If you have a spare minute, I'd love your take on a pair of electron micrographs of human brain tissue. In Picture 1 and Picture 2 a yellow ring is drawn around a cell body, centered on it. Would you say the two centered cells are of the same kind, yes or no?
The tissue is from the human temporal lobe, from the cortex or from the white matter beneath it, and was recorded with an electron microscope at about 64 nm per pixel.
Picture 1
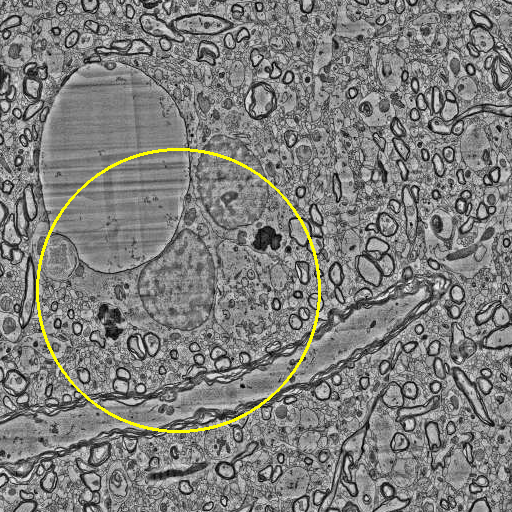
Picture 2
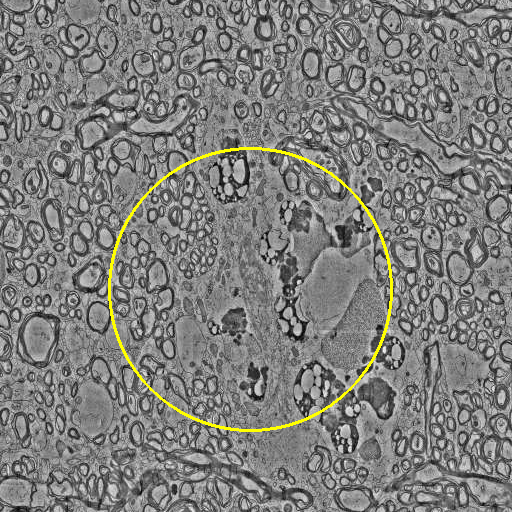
no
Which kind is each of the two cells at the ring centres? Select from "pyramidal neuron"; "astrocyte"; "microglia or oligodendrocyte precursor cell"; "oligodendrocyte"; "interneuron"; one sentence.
The cell at the centre of the ring is an oligodendrocyte in the first picture and an astrocyte in the second.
